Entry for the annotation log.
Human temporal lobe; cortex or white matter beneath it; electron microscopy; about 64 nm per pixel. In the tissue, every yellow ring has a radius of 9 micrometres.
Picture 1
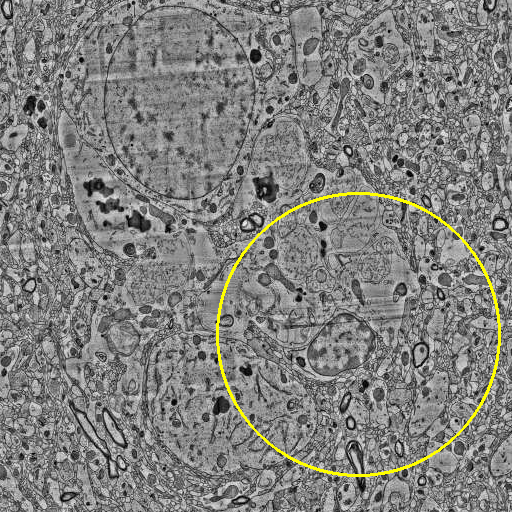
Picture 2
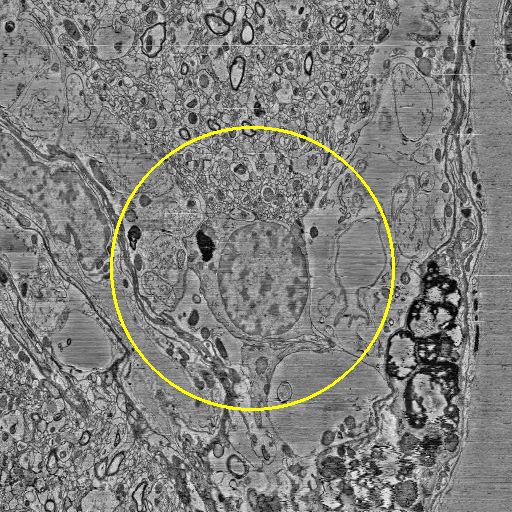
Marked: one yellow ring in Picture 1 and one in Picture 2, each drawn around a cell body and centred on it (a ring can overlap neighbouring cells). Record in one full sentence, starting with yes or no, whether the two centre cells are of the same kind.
No, the two cells are of two kinds.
